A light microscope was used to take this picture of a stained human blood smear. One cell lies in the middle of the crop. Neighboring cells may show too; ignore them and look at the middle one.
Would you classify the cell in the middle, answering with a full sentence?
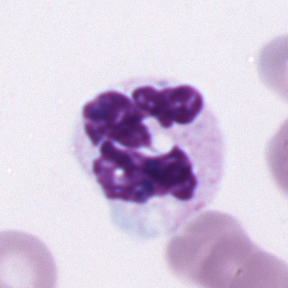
Among the cells in view, the one in the middle is a segmented neutrophil.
